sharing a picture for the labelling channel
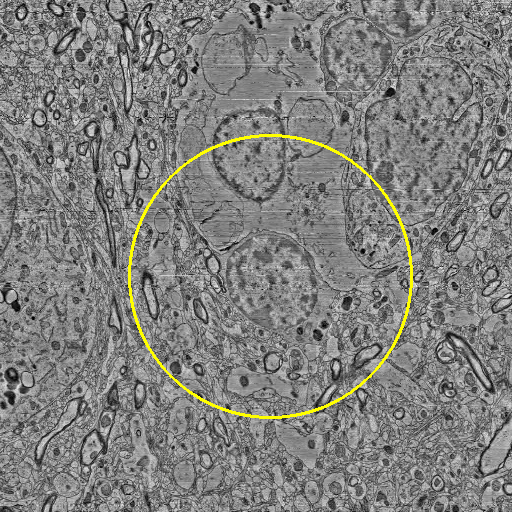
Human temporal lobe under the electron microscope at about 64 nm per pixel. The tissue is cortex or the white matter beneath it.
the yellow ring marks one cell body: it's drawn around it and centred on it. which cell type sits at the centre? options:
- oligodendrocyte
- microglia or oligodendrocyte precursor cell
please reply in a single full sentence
In the picture, the cell at the ring's centre is an oligodendrocyte, going by the list.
